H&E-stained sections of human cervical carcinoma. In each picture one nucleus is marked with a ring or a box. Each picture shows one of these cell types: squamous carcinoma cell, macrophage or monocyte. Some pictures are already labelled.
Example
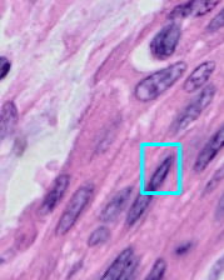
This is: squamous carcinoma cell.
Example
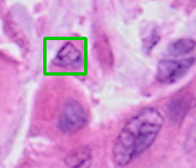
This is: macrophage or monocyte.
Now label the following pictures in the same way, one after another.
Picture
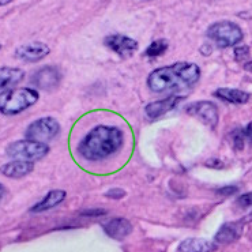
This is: squamous carcinoma cell.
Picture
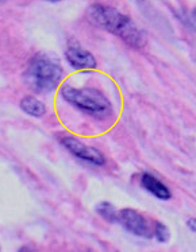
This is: macrophage or monocyte.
